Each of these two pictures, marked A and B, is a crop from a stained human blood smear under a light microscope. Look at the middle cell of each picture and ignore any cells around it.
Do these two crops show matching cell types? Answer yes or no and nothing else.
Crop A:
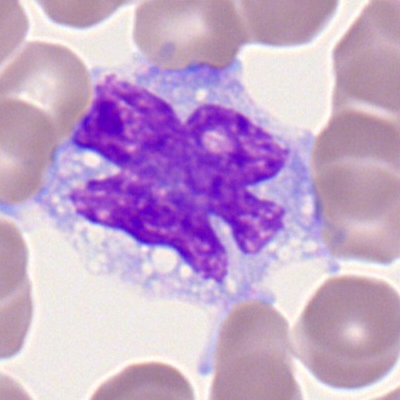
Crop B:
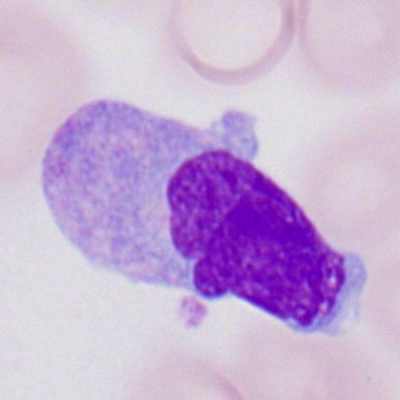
yes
